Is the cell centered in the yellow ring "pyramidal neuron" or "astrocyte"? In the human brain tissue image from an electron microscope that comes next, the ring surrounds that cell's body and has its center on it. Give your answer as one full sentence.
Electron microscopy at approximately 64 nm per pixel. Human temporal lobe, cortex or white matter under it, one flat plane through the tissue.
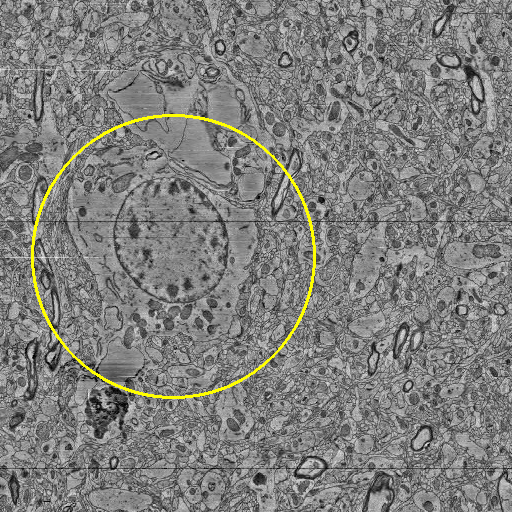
The cell at the center of the yellow ring is an astrocyte in the micrograph.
